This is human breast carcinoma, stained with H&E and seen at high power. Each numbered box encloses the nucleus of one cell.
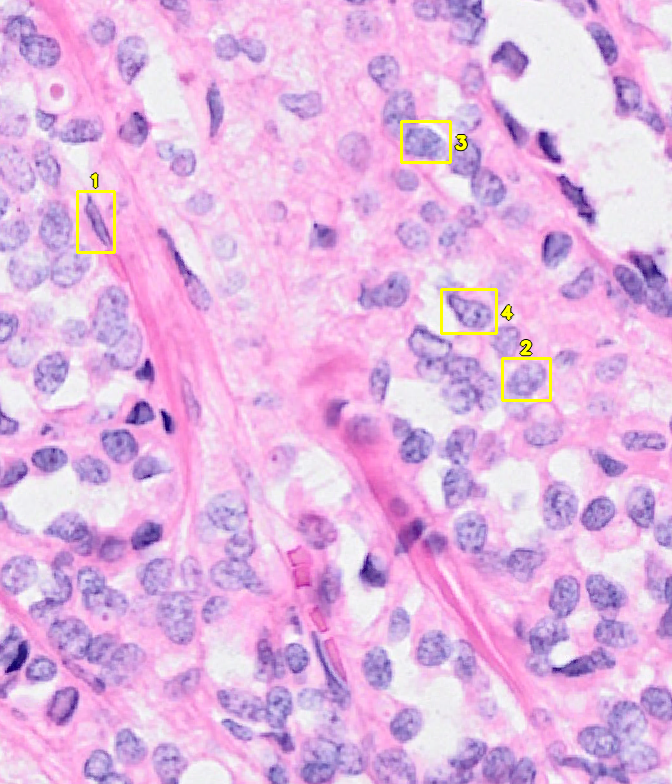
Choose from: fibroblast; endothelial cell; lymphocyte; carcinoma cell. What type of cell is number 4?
carcinoma cell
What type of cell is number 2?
carcinoma cell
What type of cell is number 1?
endothelial cell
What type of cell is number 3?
carcinoma cell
